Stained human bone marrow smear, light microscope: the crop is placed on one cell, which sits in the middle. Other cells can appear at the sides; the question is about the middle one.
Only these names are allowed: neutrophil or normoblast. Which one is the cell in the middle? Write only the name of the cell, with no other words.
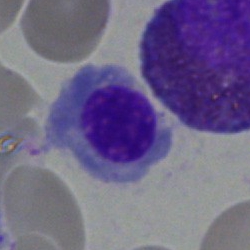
normoblast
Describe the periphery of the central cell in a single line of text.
The cell is outlined unevenly, the border being ragged or extended into projections.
